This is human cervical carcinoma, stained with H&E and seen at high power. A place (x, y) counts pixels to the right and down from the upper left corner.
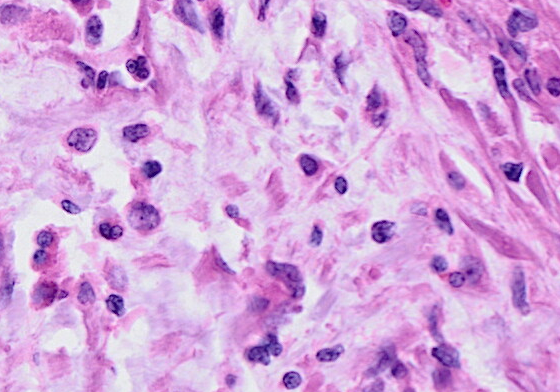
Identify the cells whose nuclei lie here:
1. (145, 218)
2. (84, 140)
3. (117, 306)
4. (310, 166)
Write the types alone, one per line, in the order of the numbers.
macrophage or monocyte
macrophage or monocyte
lymphocyte
macrophage or monocyte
